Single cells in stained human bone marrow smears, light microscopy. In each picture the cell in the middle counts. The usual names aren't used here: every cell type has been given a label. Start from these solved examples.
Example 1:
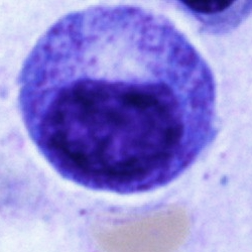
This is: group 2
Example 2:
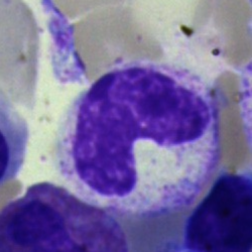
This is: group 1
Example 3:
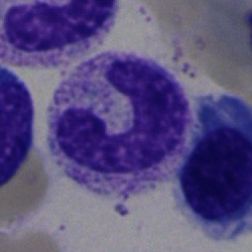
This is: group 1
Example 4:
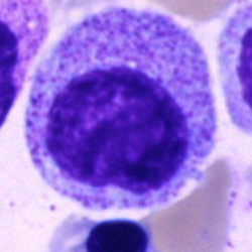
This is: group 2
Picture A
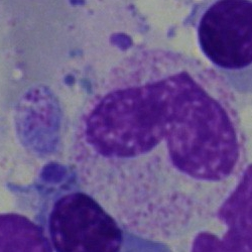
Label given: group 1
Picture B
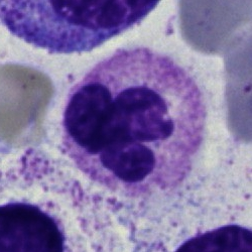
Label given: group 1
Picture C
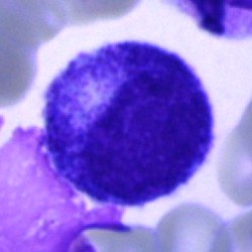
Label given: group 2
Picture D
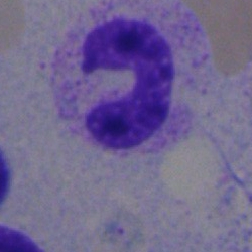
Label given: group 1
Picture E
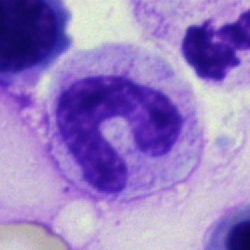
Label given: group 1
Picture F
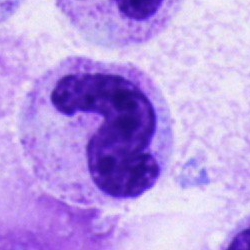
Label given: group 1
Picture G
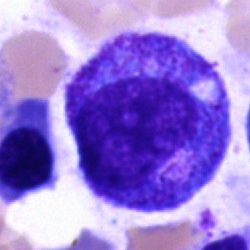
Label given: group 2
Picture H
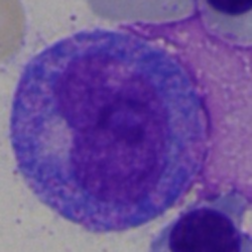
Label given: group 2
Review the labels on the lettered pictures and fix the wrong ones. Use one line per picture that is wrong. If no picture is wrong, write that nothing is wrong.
All labels are correct.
